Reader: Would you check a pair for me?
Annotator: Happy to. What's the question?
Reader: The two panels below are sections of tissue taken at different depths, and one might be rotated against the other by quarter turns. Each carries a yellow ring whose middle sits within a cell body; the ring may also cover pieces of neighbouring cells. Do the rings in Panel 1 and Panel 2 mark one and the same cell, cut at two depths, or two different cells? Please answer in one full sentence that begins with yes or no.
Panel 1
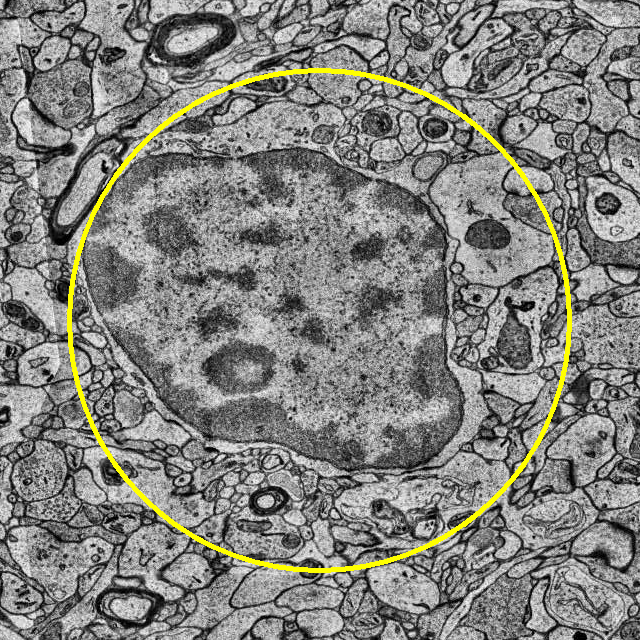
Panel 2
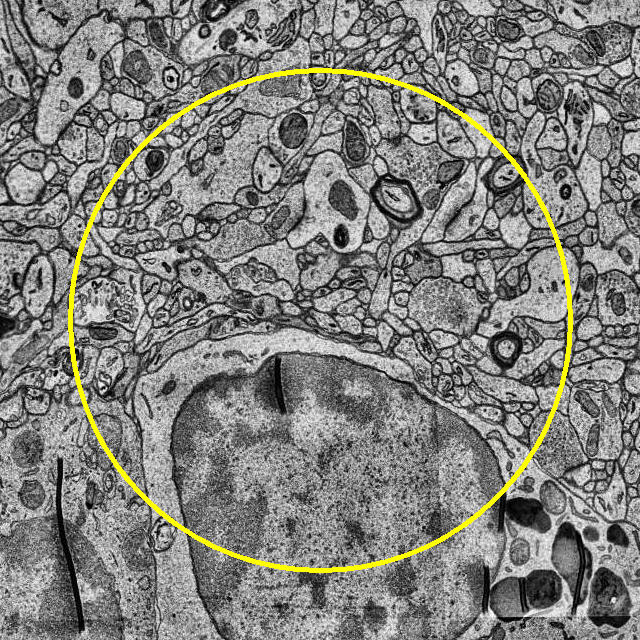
No, the yellow rings are placed on two separate cells.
